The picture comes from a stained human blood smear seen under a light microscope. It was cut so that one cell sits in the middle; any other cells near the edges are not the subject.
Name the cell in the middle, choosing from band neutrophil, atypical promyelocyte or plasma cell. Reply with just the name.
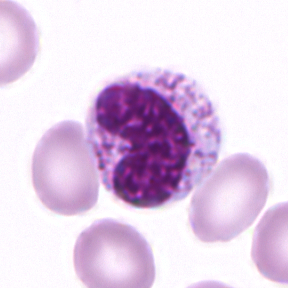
band neutrophil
